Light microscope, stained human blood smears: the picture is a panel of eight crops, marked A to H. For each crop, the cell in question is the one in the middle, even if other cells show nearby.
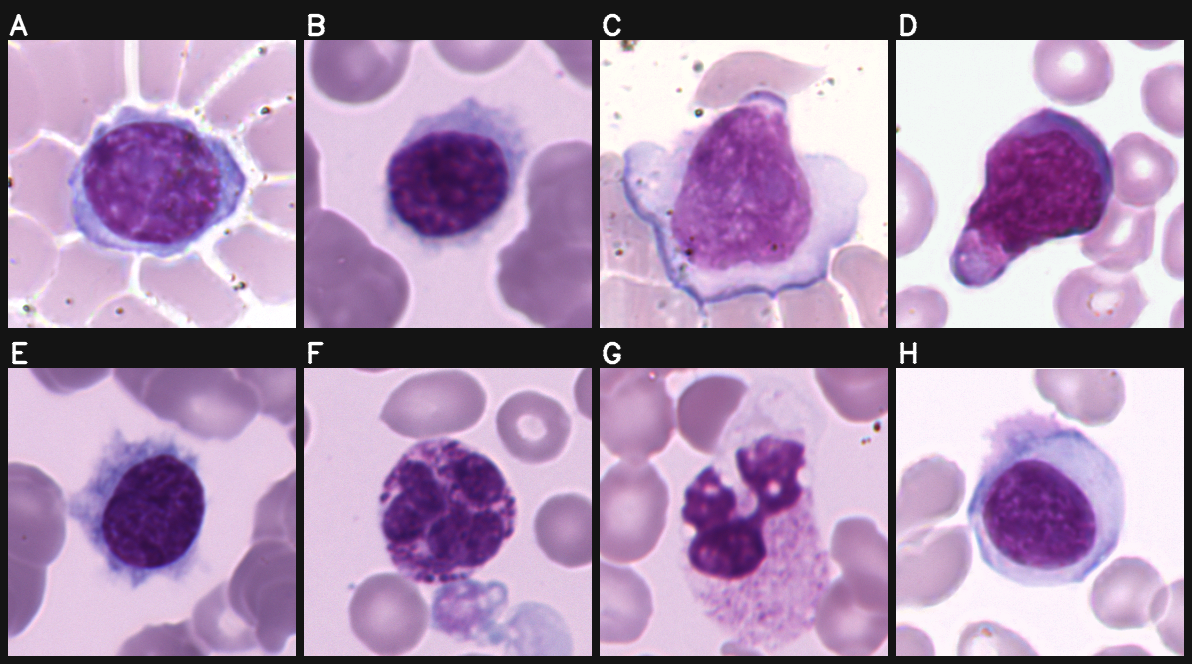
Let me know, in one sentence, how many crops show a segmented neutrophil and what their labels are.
Exactly one crop in the series shows a segmented neutrophil, and that crop is labelled G.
